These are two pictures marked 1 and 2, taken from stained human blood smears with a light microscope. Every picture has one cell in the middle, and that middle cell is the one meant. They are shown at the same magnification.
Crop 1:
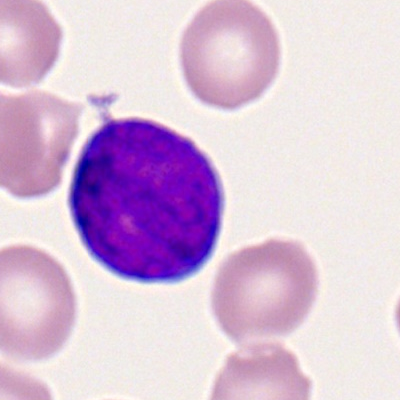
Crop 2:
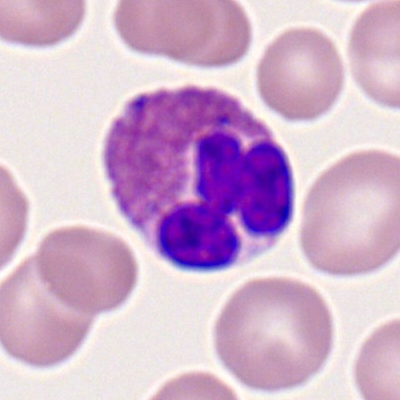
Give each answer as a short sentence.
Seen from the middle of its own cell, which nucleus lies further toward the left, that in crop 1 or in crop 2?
Seen within its cell, the nucleus in crop 1 lies further toward the left.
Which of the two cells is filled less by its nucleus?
The nucleus fills less of the cell in crop 2 than in crop 1.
